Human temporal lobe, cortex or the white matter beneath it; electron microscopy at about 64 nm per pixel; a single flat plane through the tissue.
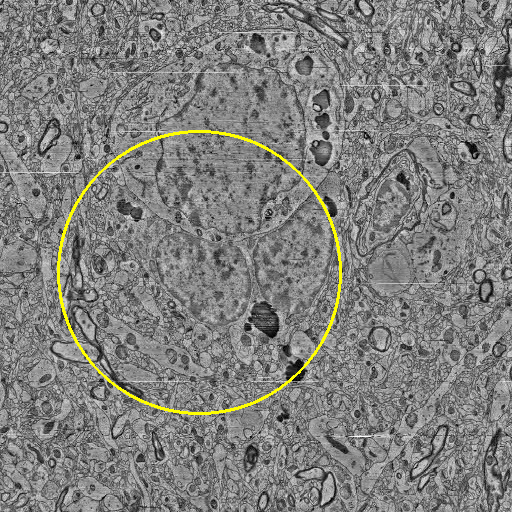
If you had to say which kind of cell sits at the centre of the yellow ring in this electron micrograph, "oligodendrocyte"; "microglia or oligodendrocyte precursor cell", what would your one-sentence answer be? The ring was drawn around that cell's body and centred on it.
The cell sitting at the centre of the ring is an oligodendrocyte.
